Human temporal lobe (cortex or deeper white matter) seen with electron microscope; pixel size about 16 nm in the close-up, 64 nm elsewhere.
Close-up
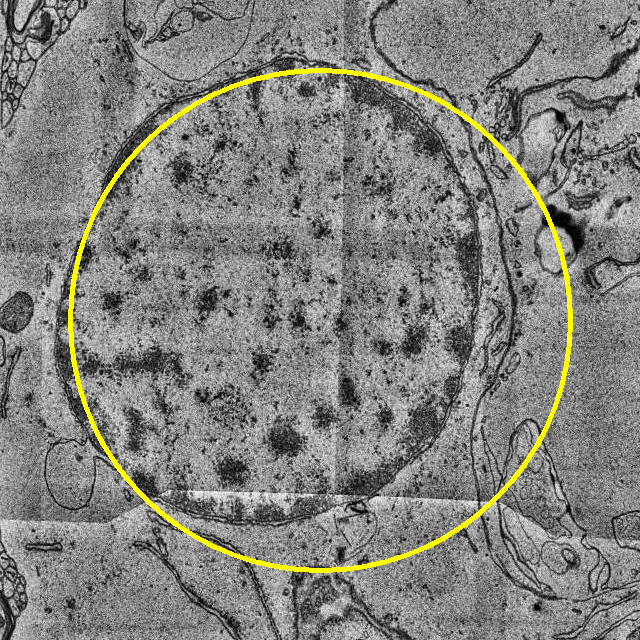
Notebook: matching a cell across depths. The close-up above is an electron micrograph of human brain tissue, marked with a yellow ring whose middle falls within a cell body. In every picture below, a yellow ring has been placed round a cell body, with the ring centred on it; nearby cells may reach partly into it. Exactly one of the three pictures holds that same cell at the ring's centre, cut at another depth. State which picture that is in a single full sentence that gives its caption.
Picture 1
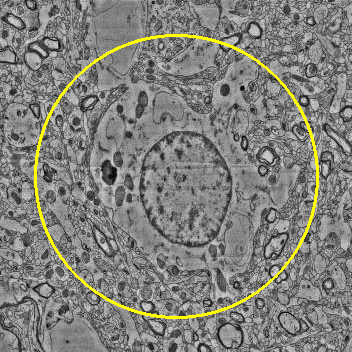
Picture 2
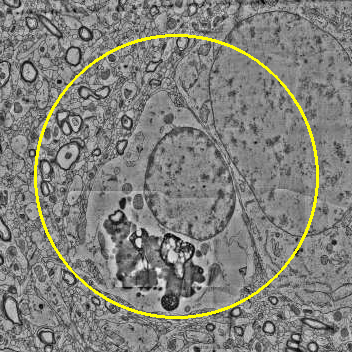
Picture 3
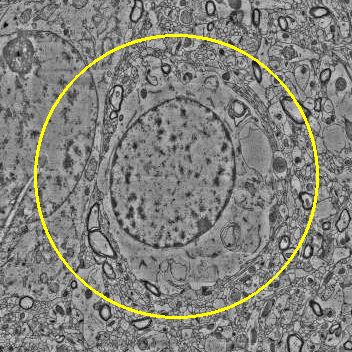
Among the marked cells, the one enlarged in the close-up sits in Picture 3.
